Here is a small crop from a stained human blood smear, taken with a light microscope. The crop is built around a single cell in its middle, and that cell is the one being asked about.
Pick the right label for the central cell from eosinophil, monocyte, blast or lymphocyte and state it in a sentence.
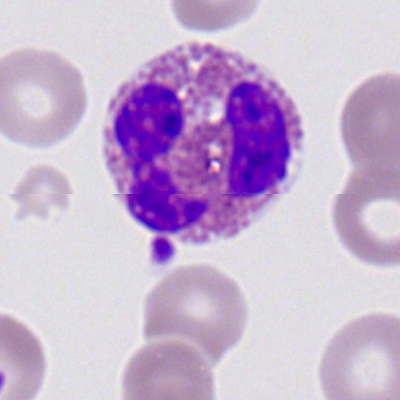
Centrally within this crop lies an eosinophil.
